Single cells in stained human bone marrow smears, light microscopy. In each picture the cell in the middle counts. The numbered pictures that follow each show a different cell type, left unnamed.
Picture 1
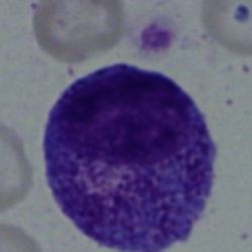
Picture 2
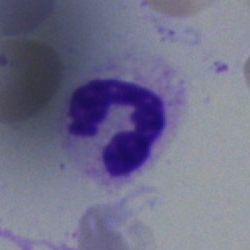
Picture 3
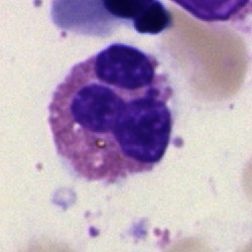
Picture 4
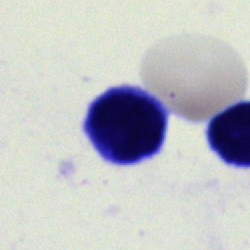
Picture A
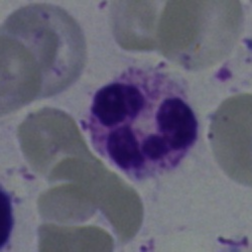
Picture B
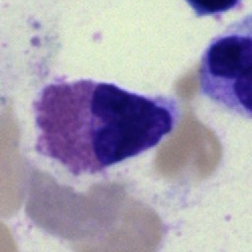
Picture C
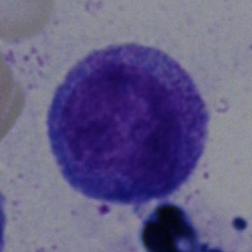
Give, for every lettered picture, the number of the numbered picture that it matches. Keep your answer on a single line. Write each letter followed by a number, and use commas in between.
A 2, B 3, C 1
